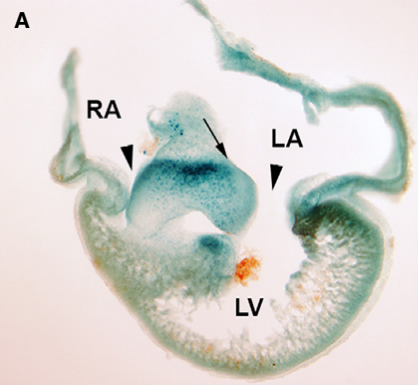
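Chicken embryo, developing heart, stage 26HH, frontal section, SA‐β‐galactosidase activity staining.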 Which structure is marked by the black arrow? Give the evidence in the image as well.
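The arrow points to a rounded mass of loose tissue projecting into the heart lumen between the atria and the ventricle. A dark blue band crosses this mass. So: atrioventricular cushion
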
